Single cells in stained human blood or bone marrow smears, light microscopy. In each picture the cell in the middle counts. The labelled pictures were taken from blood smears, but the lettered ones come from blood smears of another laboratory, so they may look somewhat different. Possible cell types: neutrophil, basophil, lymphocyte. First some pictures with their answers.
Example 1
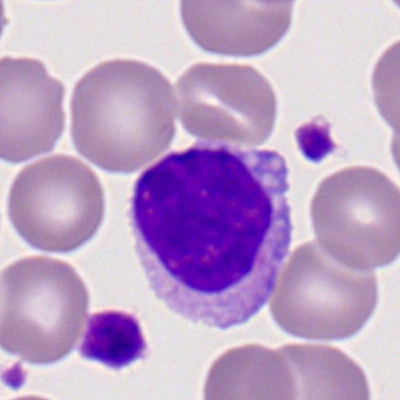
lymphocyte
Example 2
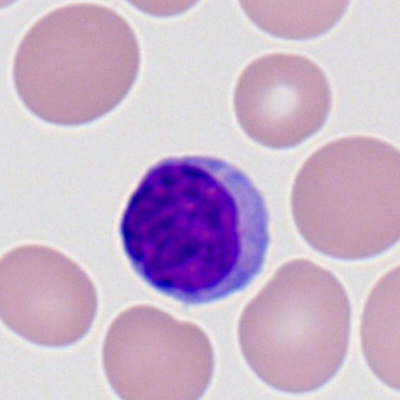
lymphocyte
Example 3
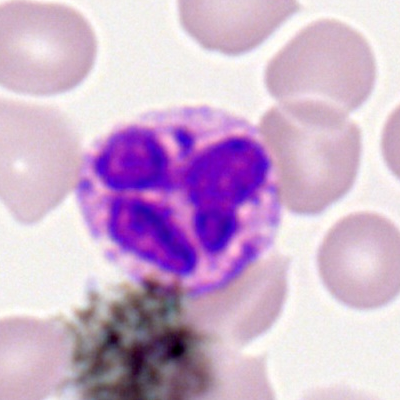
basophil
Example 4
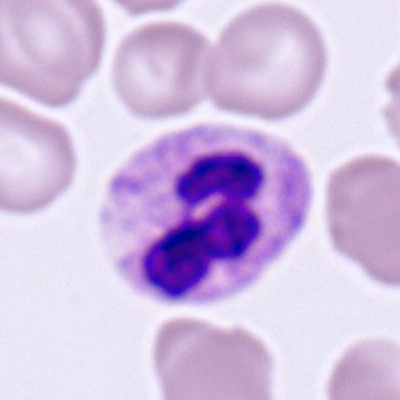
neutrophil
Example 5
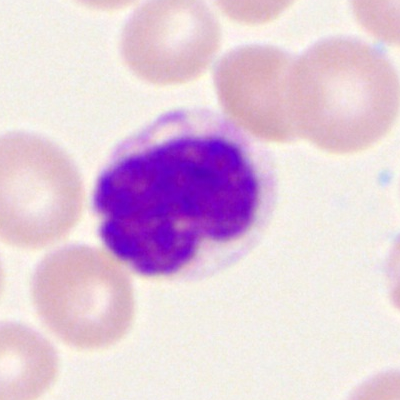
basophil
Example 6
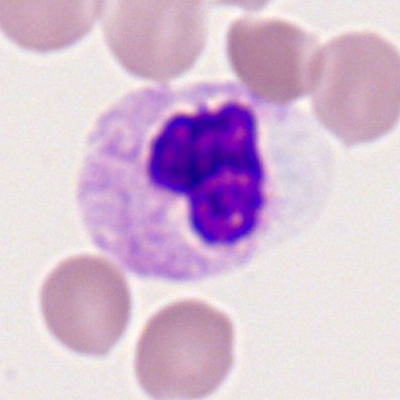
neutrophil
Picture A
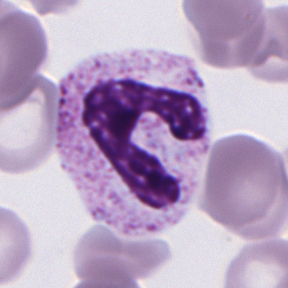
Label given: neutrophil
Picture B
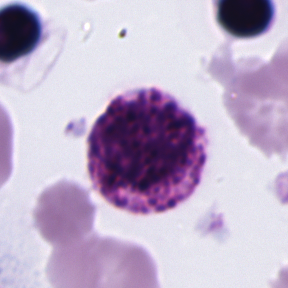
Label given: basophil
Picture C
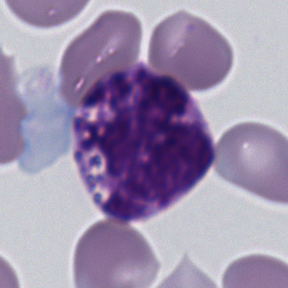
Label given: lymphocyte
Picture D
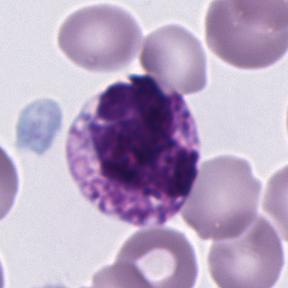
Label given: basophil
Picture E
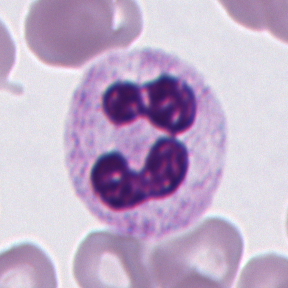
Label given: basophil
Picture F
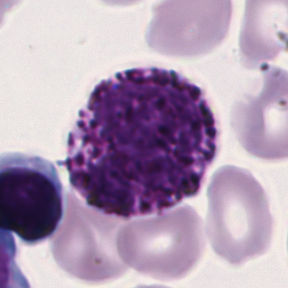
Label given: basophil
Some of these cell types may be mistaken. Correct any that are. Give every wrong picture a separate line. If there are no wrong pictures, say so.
C: basophil, not lymphocyte
E: neutrophil, not basophil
